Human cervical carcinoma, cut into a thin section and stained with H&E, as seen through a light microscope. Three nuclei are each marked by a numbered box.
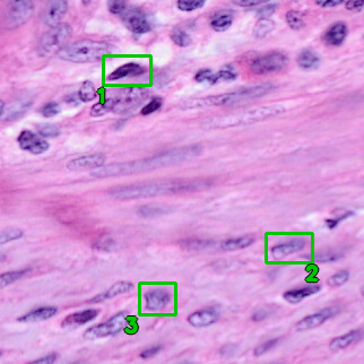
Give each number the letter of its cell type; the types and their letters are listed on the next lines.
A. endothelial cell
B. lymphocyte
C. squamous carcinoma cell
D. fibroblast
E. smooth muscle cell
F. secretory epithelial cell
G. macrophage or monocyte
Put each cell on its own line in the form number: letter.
1: B
2: E
3: E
